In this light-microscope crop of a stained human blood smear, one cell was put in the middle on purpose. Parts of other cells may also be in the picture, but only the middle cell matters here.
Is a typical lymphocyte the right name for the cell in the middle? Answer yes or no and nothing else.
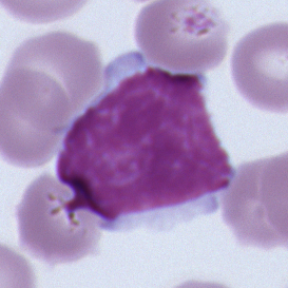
yes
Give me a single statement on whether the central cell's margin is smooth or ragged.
The edge is uneven, and this unevenness takes the form of ragged stretches or projections.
